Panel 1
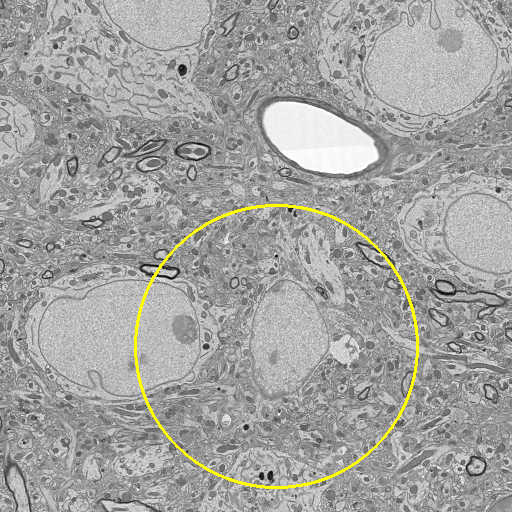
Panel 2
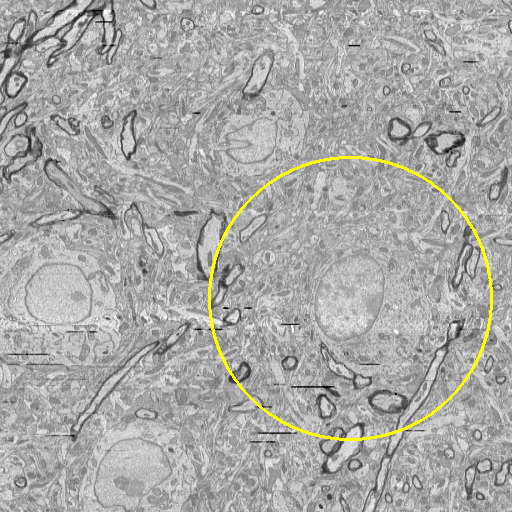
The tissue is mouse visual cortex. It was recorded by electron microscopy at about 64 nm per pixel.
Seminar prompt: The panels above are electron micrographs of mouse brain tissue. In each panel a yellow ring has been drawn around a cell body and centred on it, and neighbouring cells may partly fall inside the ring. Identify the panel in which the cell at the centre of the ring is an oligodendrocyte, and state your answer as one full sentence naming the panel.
Panel 2 has it at the centre of its ring.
